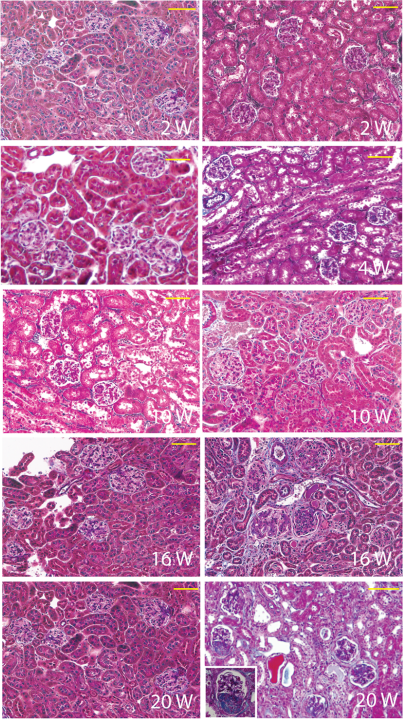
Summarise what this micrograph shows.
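Kidney cortex with round glomeruli set among pink-red tubules, with blue-stained connective tissue and purple nuclei. In several images of the right-hand column the glomeruli and the tissue around them hold more blue-staining material and the tubules look disordered; the inset shows a single glomerulus with blue-staining scarred segments.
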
